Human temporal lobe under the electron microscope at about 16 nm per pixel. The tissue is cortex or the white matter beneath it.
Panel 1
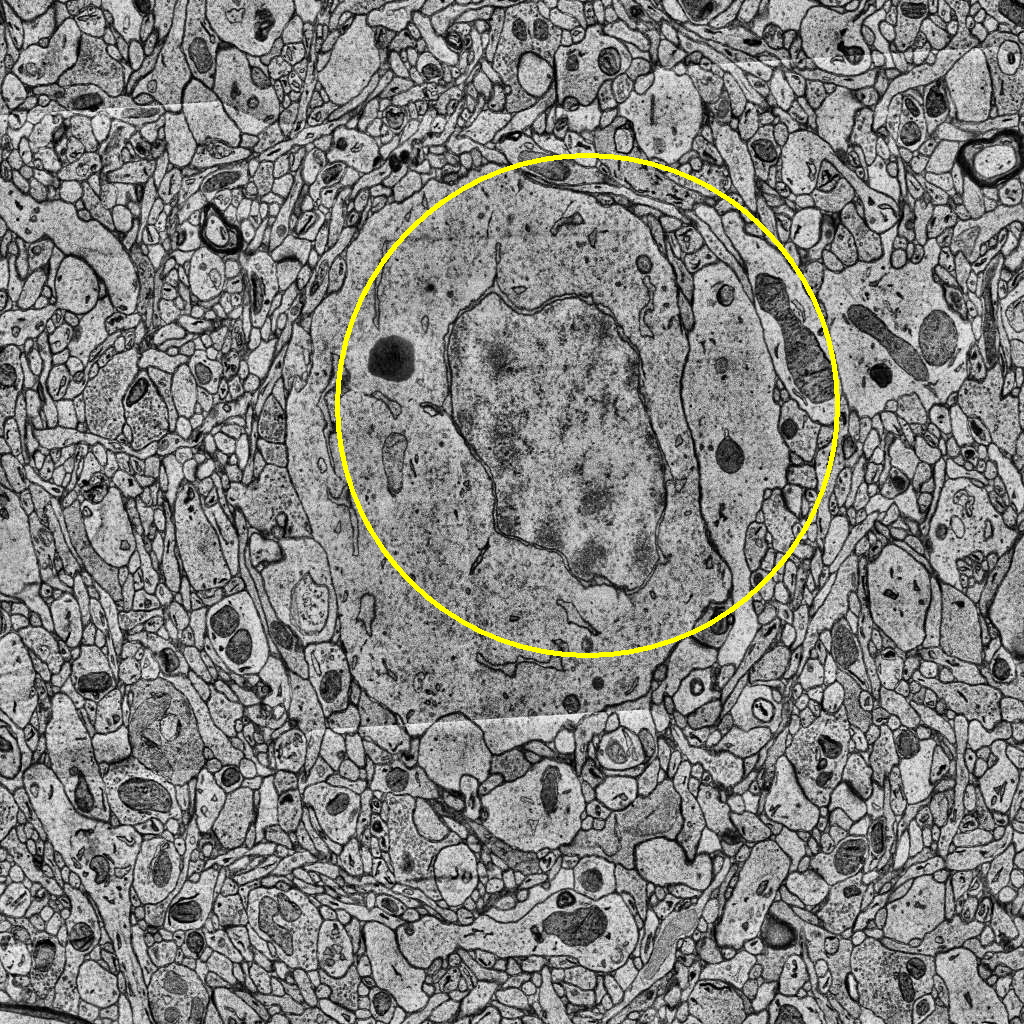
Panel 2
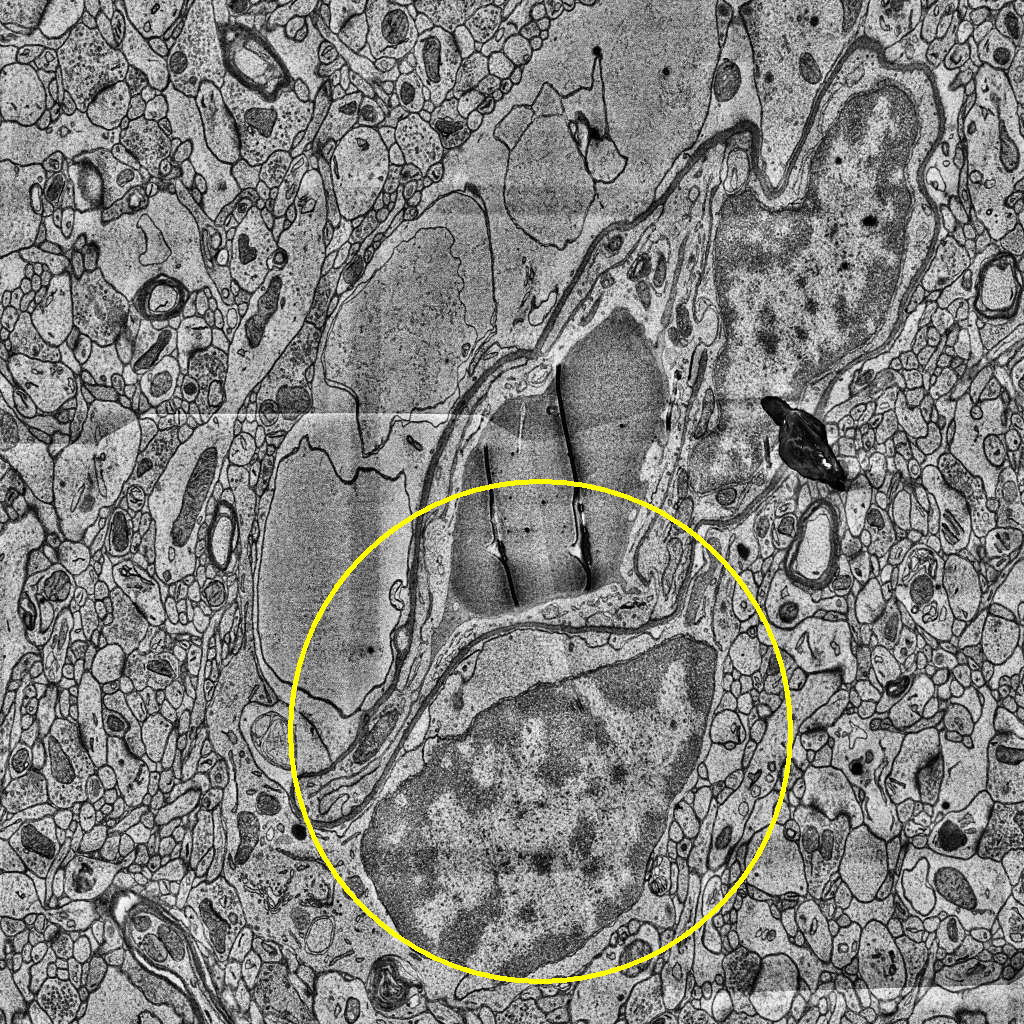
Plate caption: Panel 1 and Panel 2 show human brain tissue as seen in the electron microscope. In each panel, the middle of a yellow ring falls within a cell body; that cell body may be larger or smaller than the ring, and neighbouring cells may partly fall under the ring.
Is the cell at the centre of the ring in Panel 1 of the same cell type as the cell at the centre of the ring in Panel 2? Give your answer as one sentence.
No, the two cells are of two types.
